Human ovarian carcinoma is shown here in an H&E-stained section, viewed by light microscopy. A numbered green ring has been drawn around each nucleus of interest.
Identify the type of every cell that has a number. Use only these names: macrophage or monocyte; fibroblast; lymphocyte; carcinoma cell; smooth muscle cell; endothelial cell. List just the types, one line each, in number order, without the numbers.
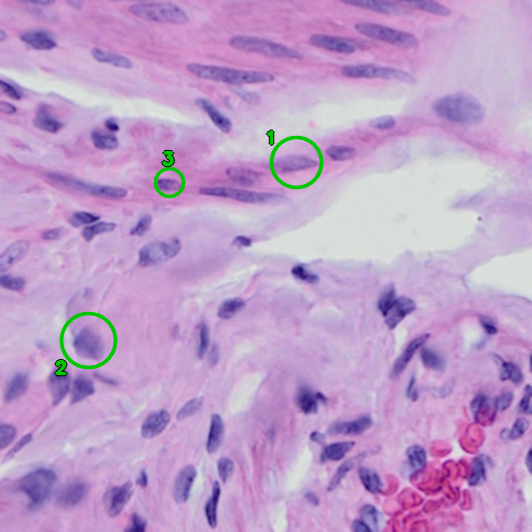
smooth muscle cell
fibroblast
smooth muscle cell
